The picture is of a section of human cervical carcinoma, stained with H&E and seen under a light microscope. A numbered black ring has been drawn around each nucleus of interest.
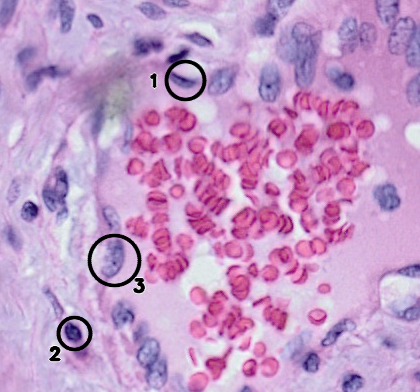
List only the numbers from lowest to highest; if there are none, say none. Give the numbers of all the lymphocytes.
2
